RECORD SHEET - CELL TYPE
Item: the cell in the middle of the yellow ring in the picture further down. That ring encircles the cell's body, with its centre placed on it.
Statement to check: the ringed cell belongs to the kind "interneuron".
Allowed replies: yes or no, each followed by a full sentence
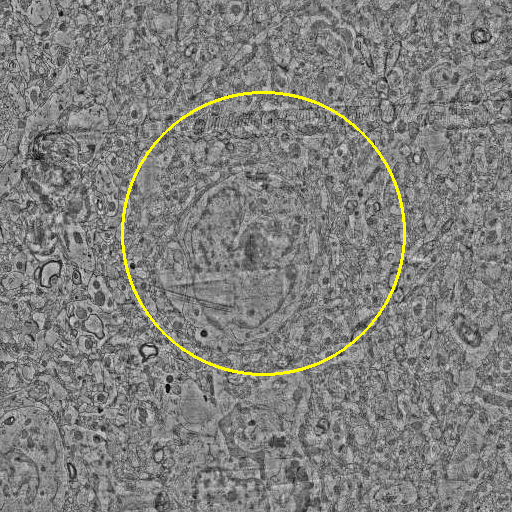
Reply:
Yes, the cell held at the centre of the ring in the picture is of that kind.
